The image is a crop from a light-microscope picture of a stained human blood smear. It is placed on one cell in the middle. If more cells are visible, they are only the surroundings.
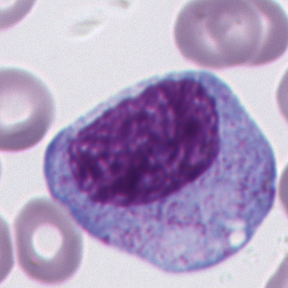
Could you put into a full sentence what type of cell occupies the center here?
In the central position of this crop, the cell is a promyelocyte.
